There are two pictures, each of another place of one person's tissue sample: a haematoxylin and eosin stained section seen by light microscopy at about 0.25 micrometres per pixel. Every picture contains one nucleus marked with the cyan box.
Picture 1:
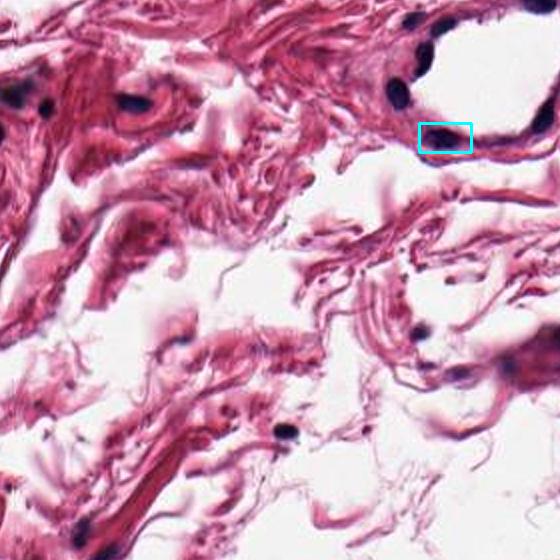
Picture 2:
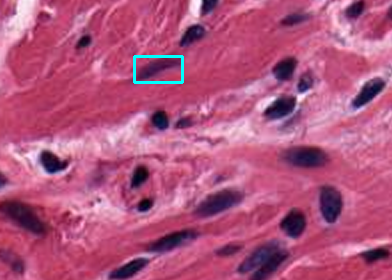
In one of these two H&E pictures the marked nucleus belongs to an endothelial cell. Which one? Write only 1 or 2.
1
